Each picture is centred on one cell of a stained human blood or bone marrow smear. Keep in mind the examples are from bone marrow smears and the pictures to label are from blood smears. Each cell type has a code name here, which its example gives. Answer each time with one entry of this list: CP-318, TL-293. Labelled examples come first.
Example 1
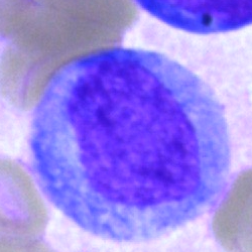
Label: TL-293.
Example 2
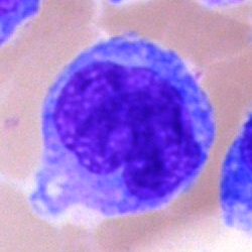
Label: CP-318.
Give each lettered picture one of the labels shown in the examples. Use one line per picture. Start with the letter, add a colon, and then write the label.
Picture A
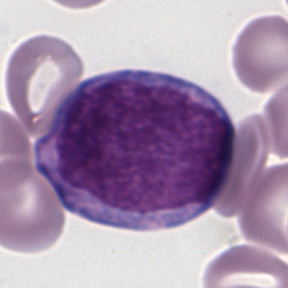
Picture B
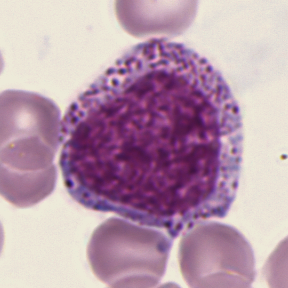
A: TL-293.
B: TL-293.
